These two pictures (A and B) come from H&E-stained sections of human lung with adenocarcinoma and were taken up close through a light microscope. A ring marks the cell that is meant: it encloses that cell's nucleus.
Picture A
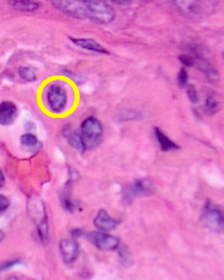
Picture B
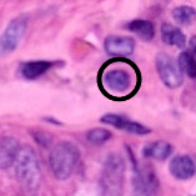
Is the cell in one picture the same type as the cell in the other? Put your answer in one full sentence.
Yes, the two pictures both show mast cells.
